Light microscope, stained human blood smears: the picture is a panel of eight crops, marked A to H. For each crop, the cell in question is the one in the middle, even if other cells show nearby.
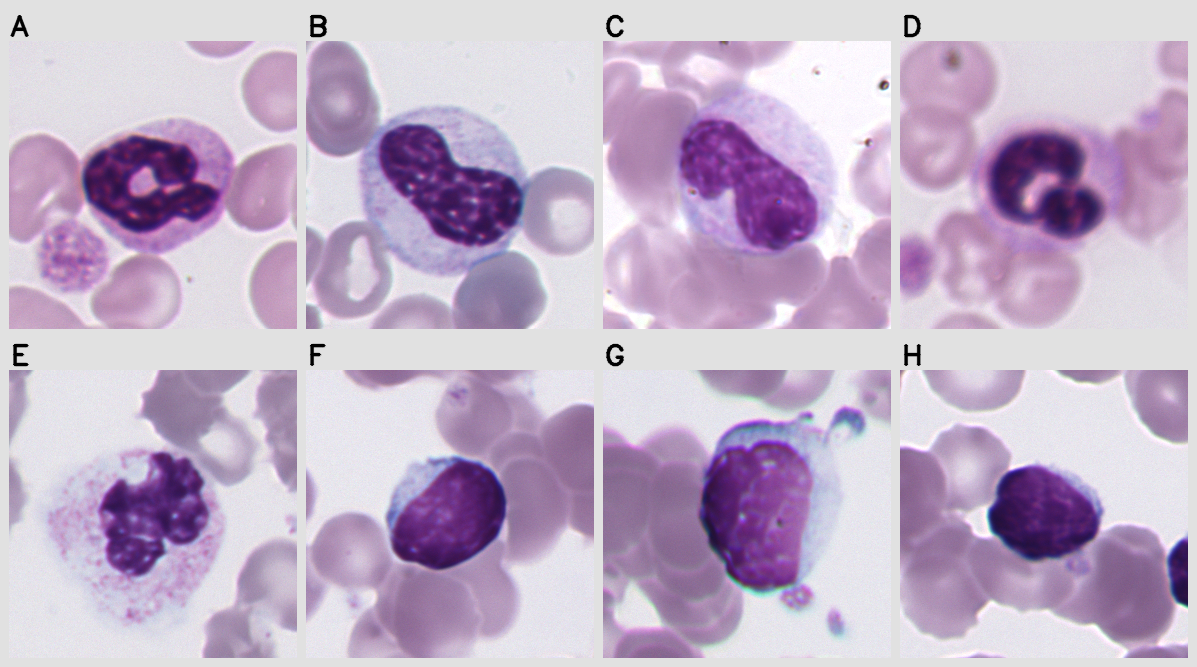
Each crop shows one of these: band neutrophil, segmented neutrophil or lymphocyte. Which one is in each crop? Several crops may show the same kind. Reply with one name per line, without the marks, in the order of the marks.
segmented neutrophil
band neutrophil
band neutrophil
segmented neutrophil
segmented neutrophil
lymphocyte
lymphocyte
lymphocyte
